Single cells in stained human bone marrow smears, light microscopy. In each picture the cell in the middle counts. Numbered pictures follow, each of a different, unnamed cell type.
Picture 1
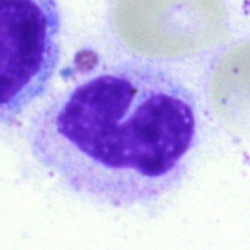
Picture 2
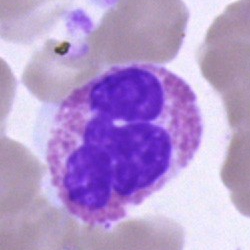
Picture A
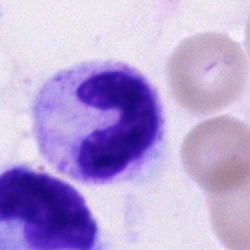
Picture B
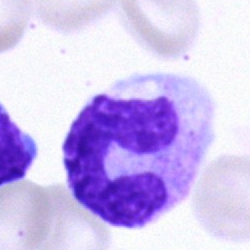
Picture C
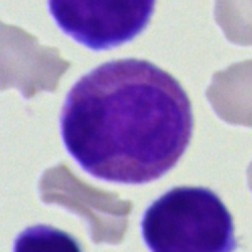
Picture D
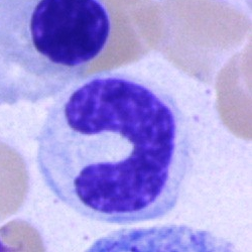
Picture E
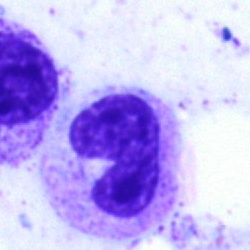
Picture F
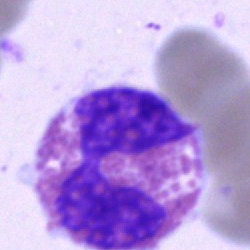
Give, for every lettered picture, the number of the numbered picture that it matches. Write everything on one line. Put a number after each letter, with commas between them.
A 1, B 1, C 2, D 1, E 1, F 2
